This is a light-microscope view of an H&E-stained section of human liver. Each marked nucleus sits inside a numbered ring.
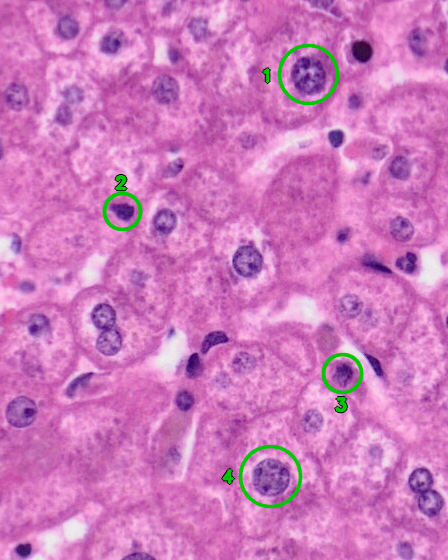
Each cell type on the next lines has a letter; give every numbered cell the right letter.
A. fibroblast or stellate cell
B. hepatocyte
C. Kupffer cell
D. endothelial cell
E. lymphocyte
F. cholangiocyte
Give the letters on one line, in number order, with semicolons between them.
B; A; C; B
